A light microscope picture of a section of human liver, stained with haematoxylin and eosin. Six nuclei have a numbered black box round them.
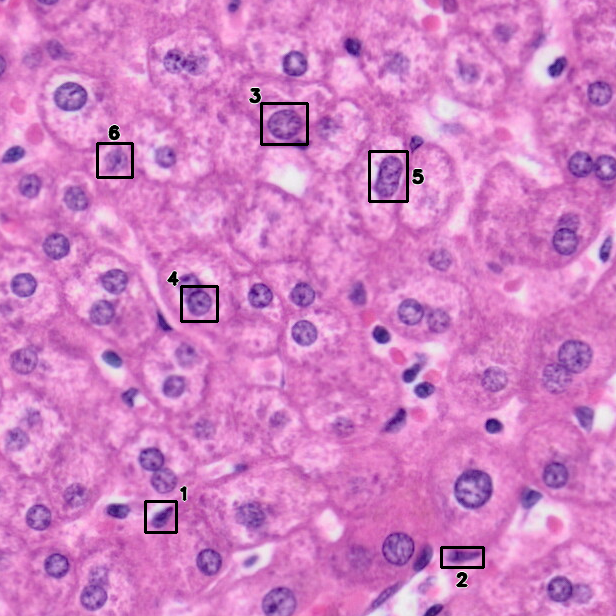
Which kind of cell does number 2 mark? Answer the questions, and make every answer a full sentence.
Nucleus 2 in this section belongs to a fibroblast or stellate cell.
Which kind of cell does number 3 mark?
The nucleus labeled 3 belongs to a hepatocyte.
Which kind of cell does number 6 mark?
In this section, number 6 marks a hepatocyte.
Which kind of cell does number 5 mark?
The marked nucleus 5 is that of a hepatocyte.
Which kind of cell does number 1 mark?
In this section, the cell numbered 1 is an endothelial cell.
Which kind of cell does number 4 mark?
In this section, the cell tagged 4 is a hepatocyte.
